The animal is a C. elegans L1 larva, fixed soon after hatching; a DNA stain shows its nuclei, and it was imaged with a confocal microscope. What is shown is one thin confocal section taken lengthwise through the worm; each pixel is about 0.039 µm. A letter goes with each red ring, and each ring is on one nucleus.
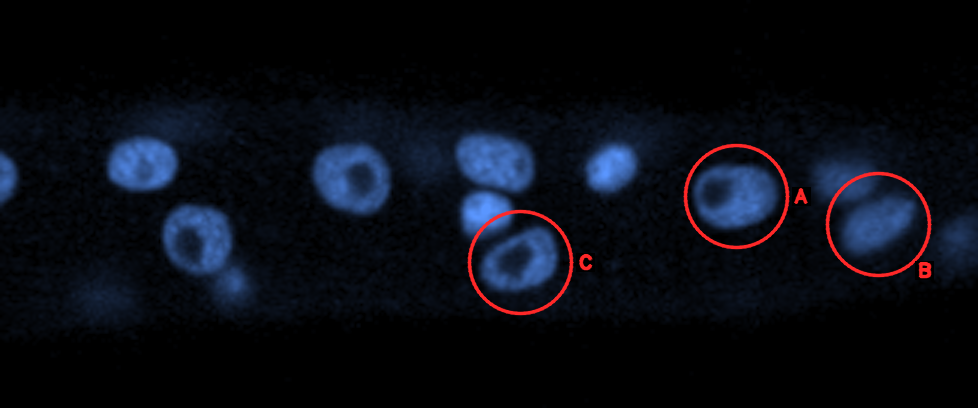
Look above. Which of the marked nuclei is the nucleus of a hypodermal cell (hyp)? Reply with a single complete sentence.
Nucleus C belongs to a hypodermal cell (hyp).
